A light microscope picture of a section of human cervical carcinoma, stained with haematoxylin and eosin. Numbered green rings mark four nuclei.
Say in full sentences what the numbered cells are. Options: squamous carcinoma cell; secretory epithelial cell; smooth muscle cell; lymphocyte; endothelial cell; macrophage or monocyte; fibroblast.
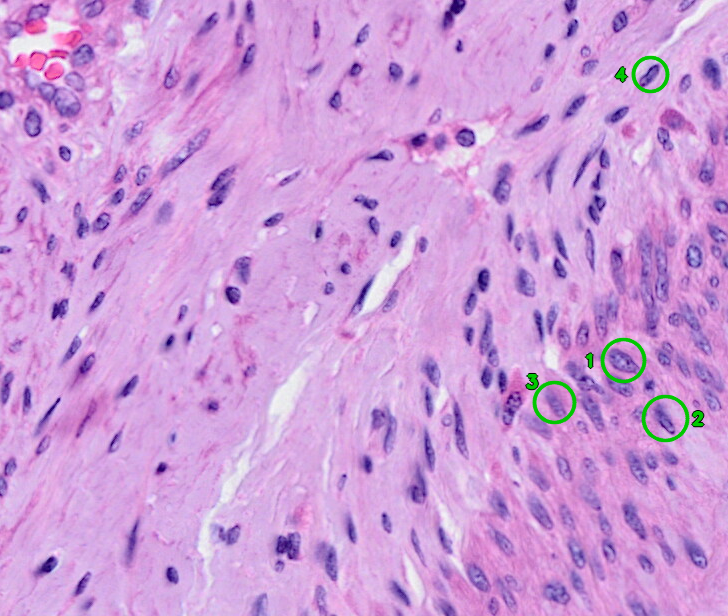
Cell 1 is a smooth muscle cell, cell 2 is a smooth muscle cell, cell 3 is a smooth muscle cell and cell 4 is a fibroblast.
